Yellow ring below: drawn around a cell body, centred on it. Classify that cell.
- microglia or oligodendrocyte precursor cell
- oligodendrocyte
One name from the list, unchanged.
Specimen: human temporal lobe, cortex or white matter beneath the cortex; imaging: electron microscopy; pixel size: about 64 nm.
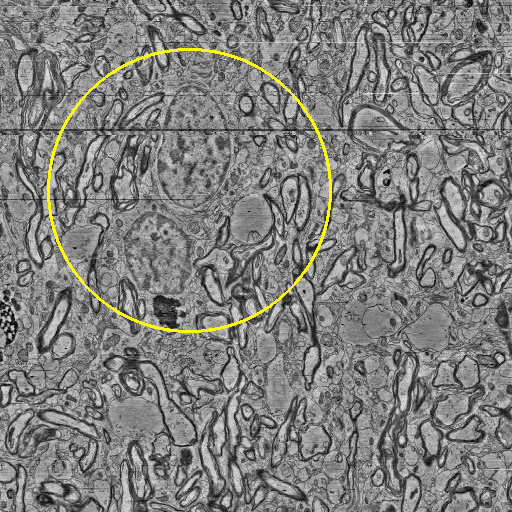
microglia or oligodendrocyte precursor cell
